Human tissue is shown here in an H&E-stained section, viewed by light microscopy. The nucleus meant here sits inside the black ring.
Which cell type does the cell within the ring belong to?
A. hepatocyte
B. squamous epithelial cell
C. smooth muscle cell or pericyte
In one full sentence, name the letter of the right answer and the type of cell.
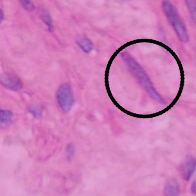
Option C gets it right: the cell within the ring is a smooth muscle cell or pericyte.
